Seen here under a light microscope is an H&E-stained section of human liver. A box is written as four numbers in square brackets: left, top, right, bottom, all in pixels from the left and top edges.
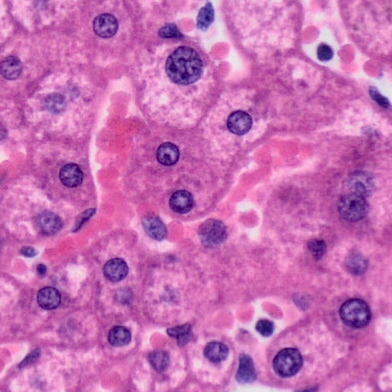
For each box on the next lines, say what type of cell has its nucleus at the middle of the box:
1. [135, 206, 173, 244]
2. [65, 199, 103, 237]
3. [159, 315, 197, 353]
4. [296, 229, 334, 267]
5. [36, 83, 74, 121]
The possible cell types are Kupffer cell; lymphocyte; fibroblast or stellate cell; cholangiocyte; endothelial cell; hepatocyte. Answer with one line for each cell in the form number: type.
1: Kupffer cell
2: endothelial cell
3: endothelial cell
4: fibroblast or stellate cell
5: hepatocyte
